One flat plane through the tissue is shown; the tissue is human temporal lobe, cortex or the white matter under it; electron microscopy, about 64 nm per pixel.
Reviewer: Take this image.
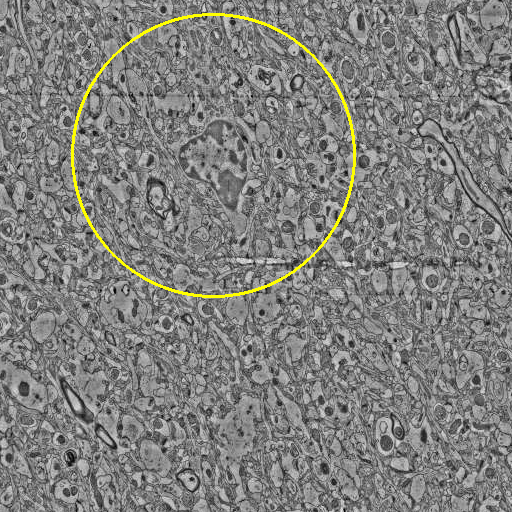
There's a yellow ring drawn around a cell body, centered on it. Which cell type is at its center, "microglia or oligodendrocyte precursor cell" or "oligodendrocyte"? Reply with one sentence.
At the center of the yellow ring is a microglial cell or oligodendrocyte precursor cell.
